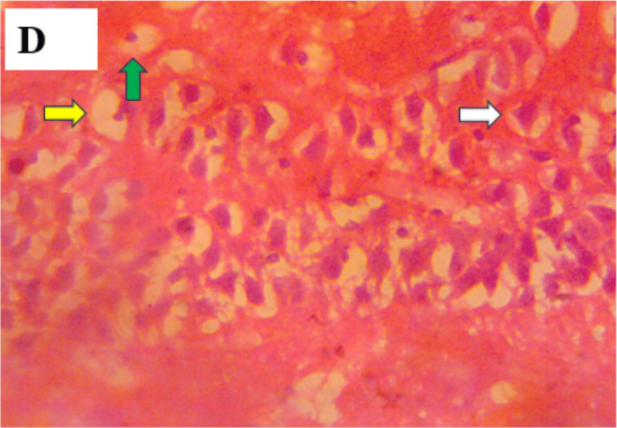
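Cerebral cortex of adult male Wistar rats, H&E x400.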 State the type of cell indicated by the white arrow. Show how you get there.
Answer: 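The marked cell body is angular with a pointed end. It lies among many purple cell bodies in a band.
Answer: Pyramidal cell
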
